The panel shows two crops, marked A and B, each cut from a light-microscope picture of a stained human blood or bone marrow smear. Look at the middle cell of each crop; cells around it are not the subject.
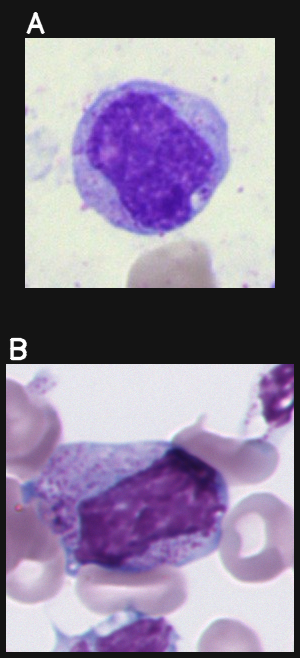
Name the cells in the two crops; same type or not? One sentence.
No, crop A carries a monocyte at its centre, and crop B carries a myelocyte.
